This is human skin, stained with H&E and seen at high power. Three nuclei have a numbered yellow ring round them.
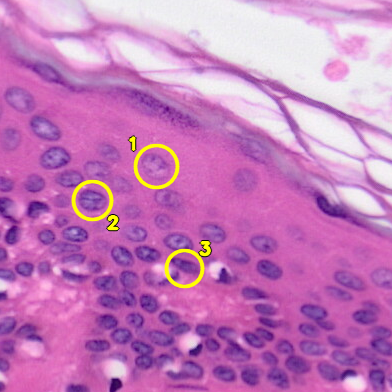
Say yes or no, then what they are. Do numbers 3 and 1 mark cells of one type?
No, the cell tagged 3 is a basal keratinocyte, whereas the cell tagged 1 is a suprabasal keratinocyte.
